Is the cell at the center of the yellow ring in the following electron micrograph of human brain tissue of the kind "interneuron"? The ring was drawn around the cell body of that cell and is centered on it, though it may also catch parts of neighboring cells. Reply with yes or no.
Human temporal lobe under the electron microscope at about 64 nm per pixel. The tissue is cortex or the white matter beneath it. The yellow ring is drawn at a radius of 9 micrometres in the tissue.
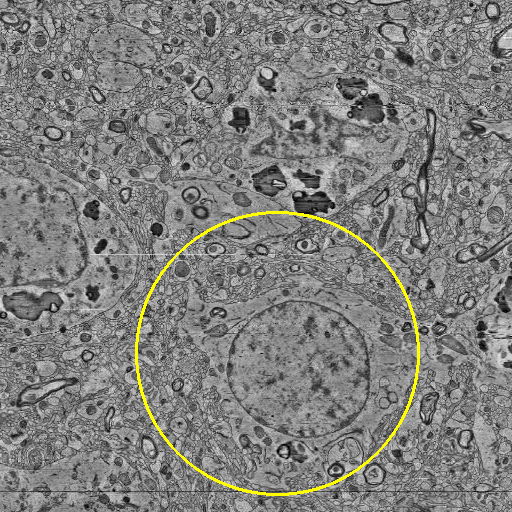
No, it is of another kind.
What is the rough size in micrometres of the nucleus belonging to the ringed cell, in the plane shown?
Approximately 9 micrometres across in this plane.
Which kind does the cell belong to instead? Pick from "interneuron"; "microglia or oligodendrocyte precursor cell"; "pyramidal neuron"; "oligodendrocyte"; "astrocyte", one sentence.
Sitting at the ring centre is an astrocyte.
